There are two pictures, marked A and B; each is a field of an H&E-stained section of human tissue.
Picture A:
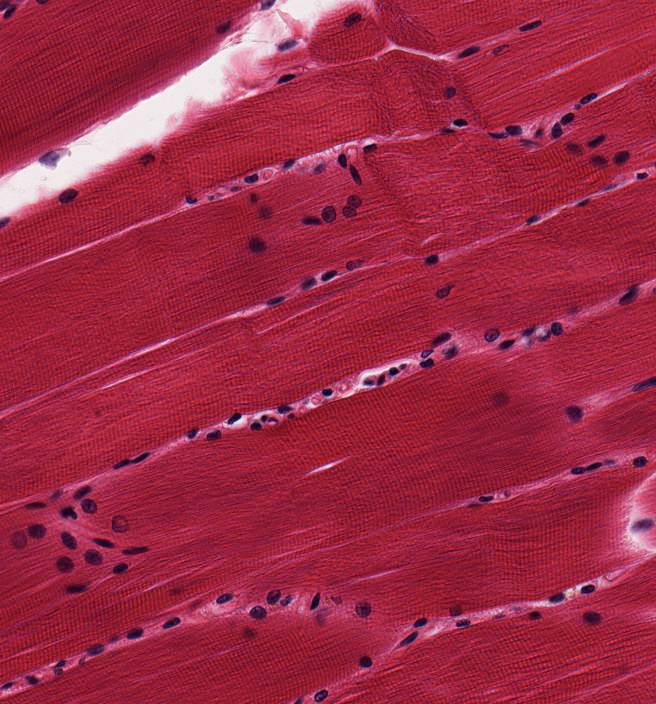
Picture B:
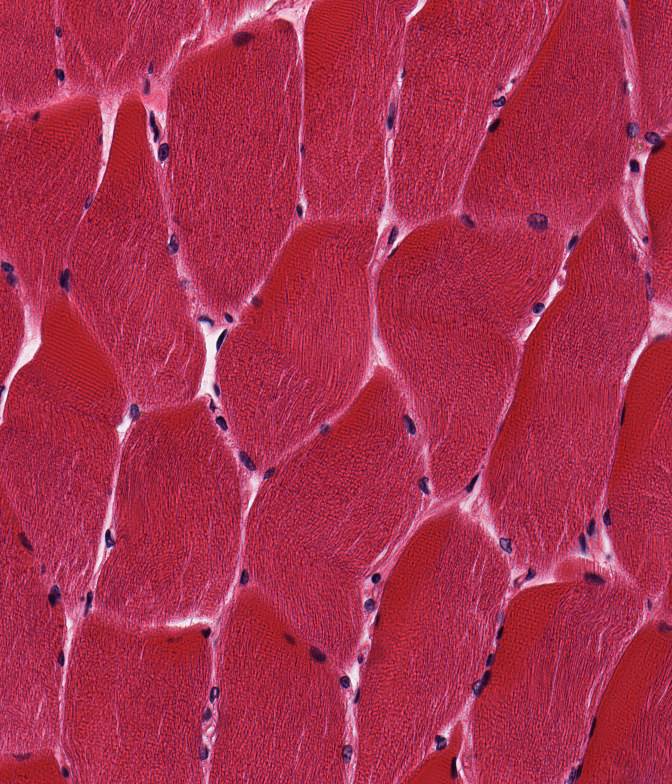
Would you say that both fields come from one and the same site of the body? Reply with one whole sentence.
Yes, they come from the same site of the body: both come from skeletal muscle.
